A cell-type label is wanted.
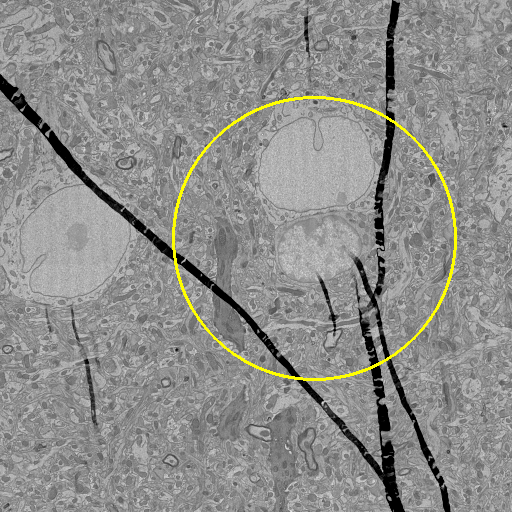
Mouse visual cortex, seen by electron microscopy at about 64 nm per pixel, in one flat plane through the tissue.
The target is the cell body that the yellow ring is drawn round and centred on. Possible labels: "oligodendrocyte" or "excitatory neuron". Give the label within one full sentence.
Of the labels offered, the cell in the middle of the yellow ring is an oligodendrocyte.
